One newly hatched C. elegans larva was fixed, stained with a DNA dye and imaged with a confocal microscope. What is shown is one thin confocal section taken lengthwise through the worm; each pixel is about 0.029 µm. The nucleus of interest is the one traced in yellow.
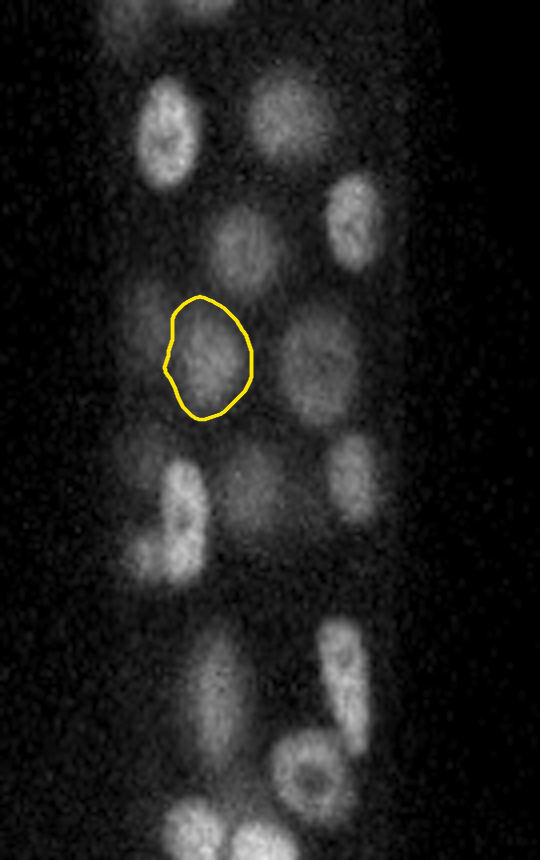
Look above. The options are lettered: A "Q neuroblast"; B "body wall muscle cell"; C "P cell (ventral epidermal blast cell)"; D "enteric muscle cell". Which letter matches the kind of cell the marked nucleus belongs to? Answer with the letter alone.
C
